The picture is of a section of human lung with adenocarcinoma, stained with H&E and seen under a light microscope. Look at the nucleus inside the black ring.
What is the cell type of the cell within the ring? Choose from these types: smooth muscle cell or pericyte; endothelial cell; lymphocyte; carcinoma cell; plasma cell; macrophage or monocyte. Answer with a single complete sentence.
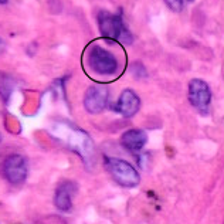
Within this tissue, the cell within the ring is a plasma cell.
